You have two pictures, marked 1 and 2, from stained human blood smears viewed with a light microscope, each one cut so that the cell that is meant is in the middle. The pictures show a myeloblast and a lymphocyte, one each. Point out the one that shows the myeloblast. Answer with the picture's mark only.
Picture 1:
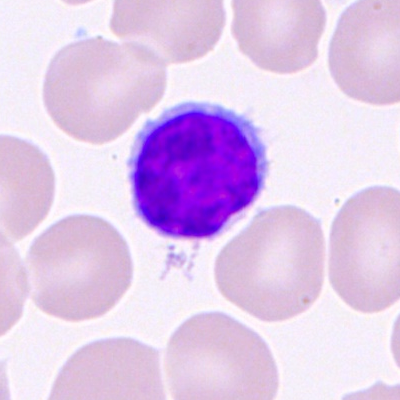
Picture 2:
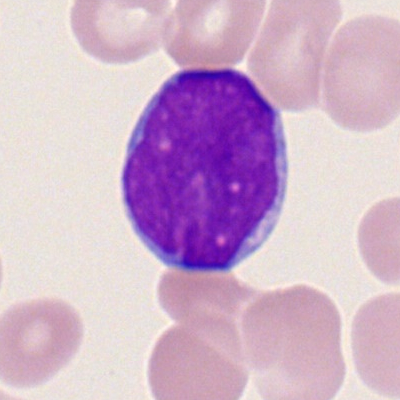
2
